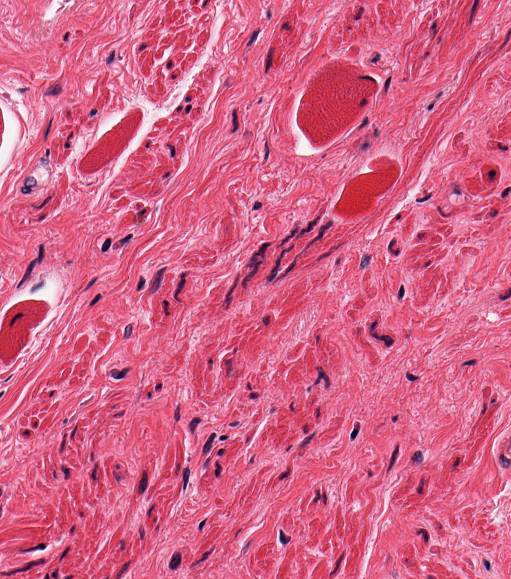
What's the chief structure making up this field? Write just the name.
fibromuscular stroma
